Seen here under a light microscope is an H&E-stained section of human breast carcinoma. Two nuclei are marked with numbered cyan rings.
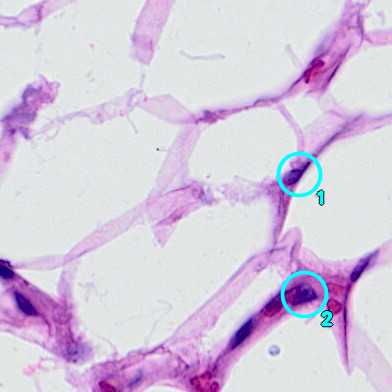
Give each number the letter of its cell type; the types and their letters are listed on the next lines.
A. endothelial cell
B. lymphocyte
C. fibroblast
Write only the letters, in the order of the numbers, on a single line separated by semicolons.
C; A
